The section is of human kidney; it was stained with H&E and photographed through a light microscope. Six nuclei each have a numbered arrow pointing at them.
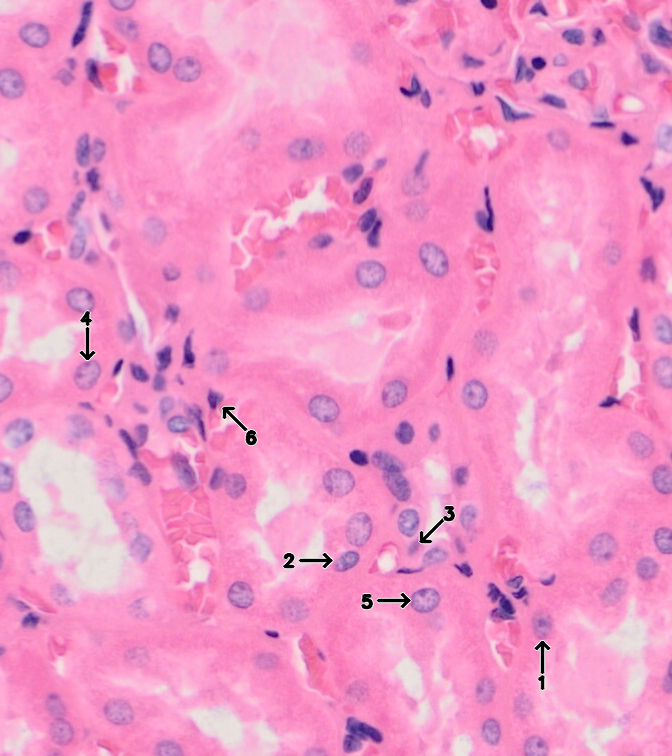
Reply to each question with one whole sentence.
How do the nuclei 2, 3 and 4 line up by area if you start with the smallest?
The order from the smallest nucleus to the largest is 3, 2, 4.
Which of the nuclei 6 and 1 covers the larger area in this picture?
Nucleus 1 is larger, with an area about 1.5 times that of nucleus 6.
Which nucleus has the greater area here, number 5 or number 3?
At about 4 times the area of nucleus 3, nucleus 5 is the larger of the two.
